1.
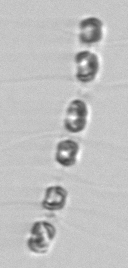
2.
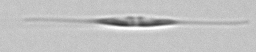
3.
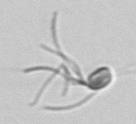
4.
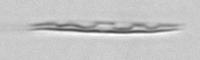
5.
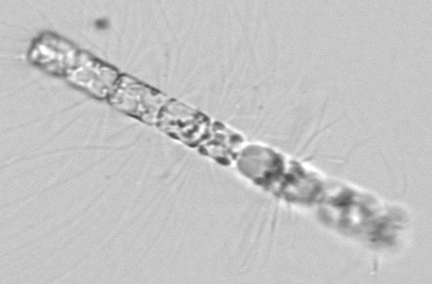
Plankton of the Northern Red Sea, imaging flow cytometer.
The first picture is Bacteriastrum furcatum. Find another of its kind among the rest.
Picture 5.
